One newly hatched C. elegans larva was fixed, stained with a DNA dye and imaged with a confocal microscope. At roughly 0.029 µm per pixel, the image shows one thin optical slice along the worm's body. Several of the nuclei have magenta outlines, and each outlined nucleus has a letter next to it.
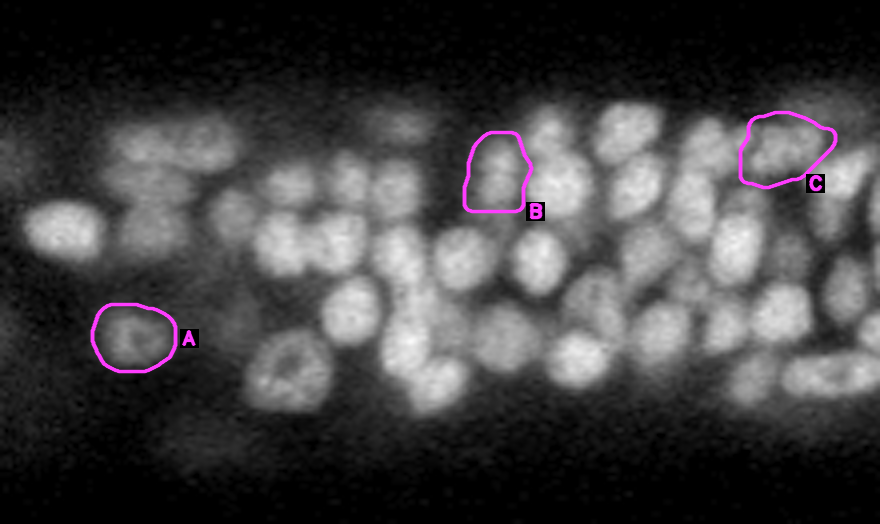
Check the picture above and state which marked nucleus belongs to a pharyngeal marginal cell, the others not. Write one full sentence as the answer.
A is the one that belongs to a pharyngeal marginal cell.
